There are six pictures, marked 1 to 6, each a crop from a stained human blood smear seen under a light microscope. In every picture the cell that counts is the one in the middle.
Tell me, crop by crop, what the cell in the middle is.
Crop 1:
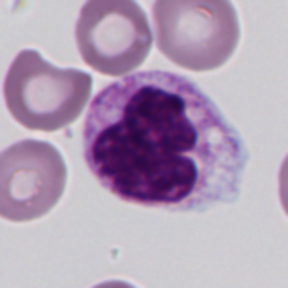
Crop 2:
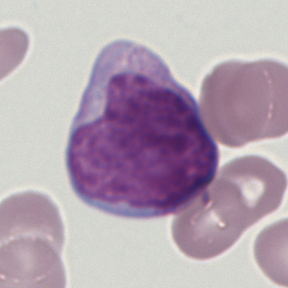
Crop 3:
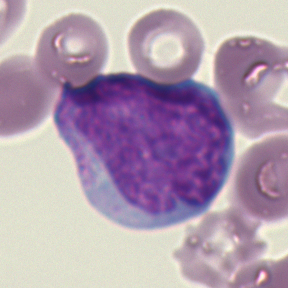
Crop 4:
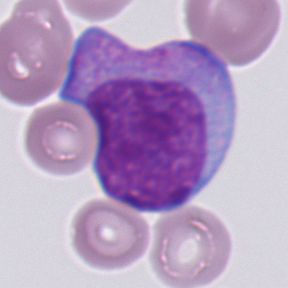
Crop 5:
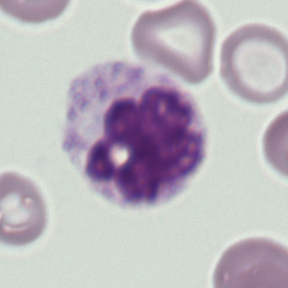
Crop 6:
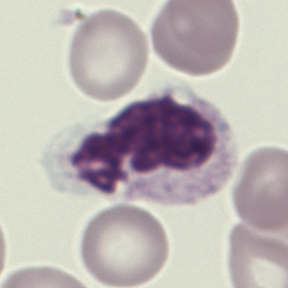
1: segmented neutrophil
2: atypical promyelocyte
3: atypical promyelocyte
4: atypical promyelocyte
5: segmented neutrophil
6: segmented neutrophil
